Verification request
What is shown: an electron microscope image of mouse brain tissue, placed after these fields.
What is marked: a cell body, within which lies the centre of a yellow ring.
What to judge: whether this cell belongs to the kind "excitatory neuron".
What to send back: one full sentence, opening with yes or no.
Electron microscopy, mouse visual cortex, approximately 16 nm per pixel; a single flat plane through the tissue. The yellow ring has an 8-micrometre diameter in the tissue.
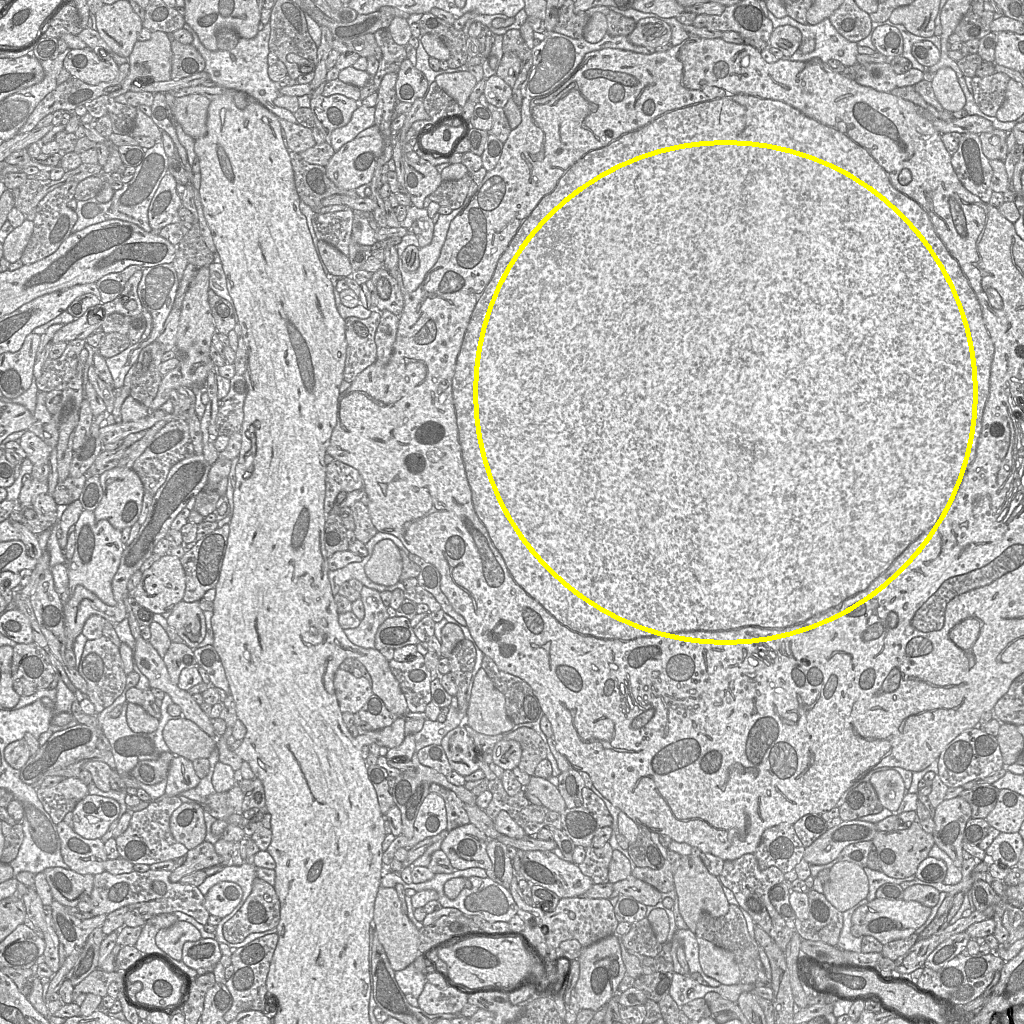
Yes, the cell whose body holds the centre of the yellow ring in the picture is of that kind.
